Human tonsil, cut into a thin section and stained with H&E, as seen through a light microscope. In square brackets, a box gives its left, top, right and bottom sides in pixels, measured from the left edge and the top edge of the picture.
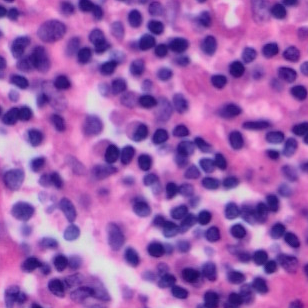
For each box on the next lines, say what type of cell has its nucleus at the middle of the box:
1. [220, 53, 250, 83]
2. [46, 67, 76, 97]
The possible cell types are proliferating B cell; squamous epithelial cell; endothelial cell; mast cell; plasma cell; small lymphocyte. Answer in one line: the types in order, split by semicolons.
plasma cell; endothelial cell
